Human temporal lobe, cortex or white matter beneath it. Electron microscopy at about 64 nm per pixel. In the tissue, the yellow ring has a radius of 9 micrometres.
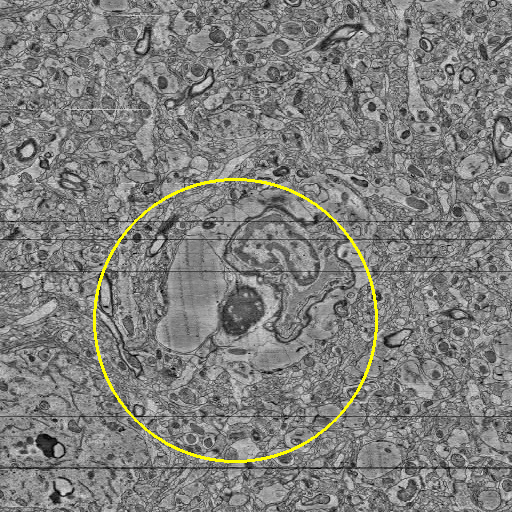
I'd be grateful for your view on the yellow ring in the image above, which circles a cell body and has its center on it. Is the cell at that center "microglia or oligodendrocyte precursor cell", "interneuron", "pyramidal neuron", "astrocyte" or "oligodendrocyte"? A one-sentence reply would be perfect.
The cell at the center of the yellow ring is a microglial cell or oligodendrocyte precursor cell.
